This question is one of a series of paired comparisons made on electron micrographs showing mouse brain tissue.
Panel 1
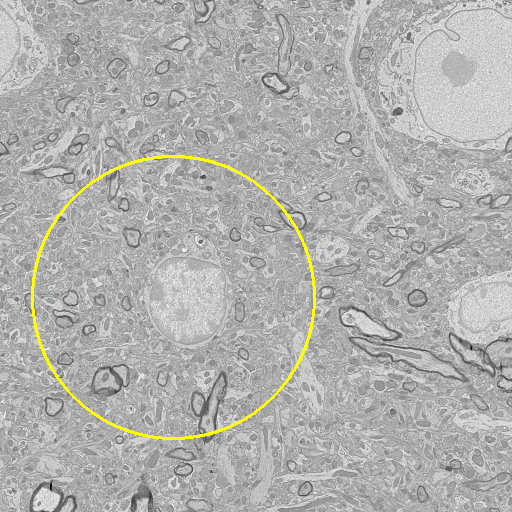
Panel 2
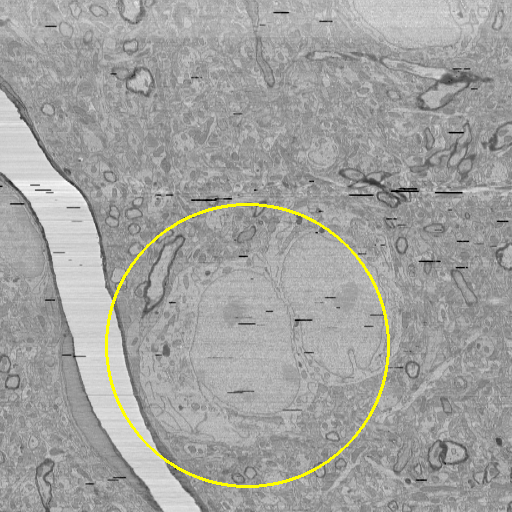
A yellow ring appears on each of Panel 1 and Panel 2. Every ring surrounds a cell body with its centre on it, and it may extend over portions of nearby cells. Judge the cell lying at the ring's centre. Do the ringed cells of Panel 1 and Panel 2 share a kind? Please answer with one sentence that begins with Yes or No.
No, the ring-centre cell in Panel 1 and the one in Panel 2 are of two kinds.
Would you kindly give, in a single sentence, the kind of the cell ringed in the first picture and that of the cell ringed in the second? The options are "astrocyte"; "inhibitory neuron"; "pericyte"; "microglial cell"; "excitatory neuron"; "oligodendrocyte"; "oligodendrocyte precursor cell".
The second cell is an excitatory neuron, and the first cell is an oligodendrocyte.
